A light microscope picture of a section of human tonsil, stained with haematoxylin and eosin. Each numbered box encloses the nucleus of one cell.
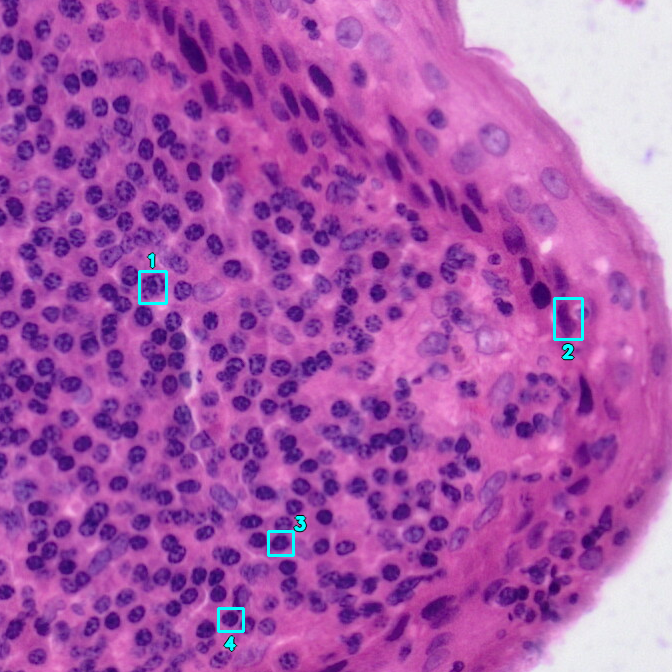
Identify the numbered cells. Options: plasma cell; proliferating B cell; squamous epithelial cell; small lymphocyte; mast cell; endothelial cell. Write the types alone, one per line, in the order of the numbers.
plasma cell
squamous epithelial cell
plasma cell
plasma cell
